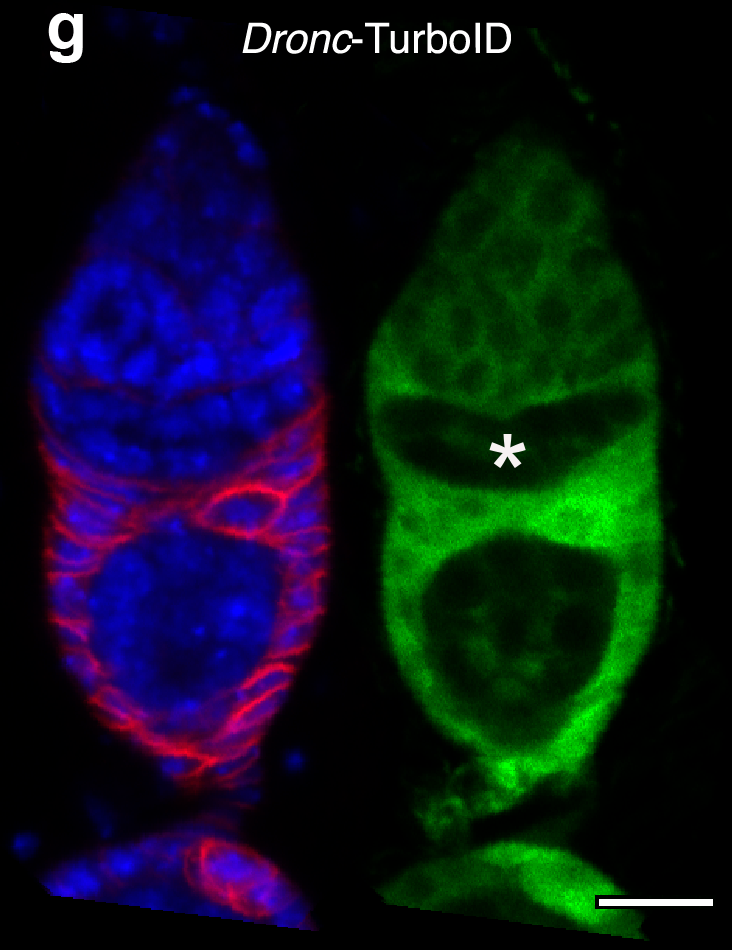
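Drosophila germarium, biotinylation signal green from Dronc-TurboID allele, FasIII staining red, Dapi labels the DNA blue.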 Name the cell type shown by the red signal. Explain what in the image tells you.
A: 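Red lines outline cell membranes of small cells wrapped around large cysts in the middle and posterior germarium. The anterior tip shows little red.
Answer: somatic cells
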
